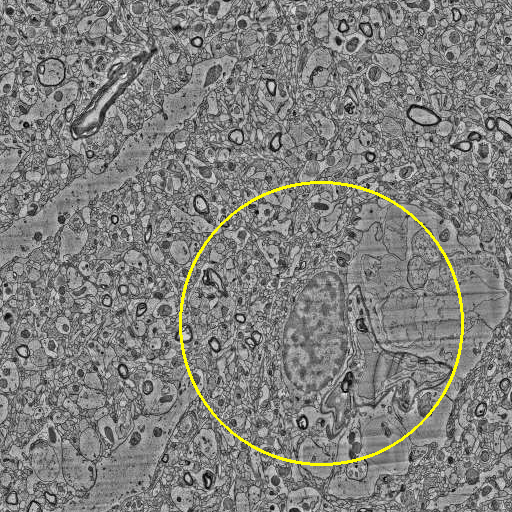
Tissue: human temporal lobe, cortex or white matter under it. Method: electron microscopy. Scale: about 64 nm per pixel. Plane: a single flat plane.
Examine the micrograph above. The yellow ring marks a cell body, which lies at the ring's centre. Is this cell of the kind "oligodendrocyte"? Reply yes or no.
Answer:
yes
